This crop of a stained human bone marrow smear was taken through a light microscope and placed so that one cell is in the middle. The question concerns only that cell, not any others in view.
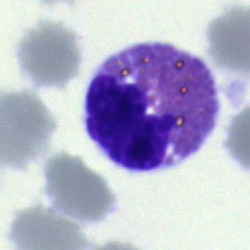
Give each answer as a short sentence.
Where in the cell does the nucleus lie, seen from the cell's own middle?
It is shifted toward the lower left of the cell.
